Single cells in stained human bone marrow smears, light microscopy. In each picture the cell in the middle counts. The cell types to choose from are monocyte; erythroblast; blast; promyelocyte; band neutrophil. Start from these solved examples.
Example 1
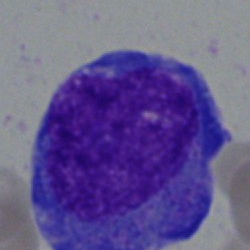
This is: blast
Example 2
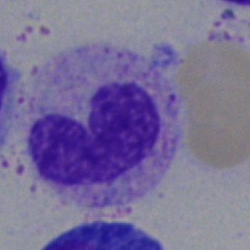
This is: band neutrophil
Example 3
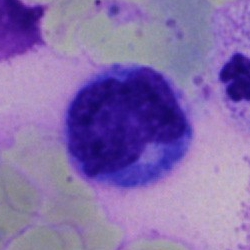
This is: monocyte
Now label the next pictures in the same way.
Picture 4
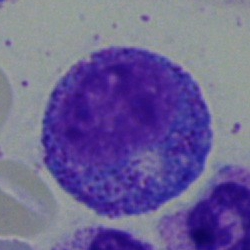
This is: promyelocyte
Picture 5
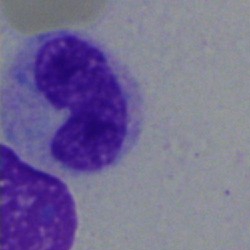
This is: band neutrophil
